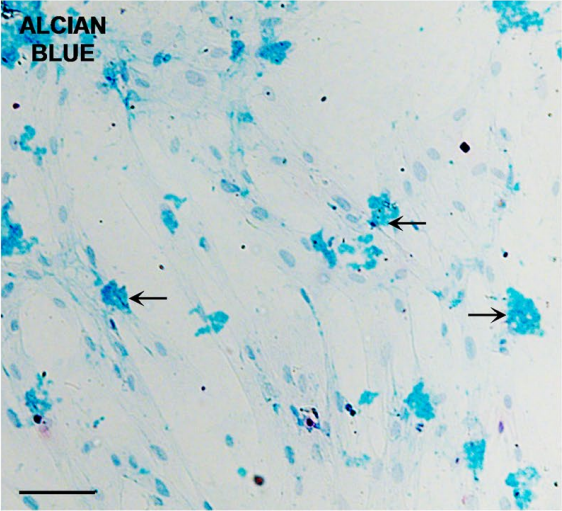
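Bright turquoise material gathers in irregular clumps scattered across the field. Between the clumps lie many pale blue oval nuclei of flattened, elongated cells whose thin outlines run in loose parallel streams. A few small dark dots are scattered over the culture.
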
